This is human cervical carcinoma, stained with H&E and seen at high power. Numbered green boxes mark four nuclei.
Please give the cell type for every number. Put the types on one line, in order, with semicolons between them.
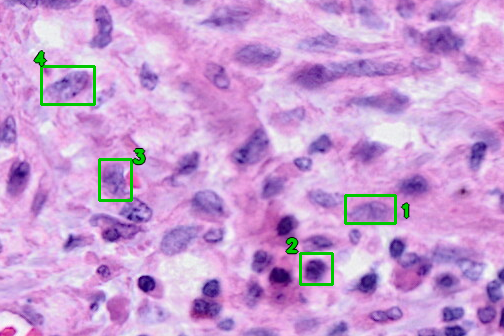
endothelial cell; lymphocyte; endothelial cell; fibroblast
